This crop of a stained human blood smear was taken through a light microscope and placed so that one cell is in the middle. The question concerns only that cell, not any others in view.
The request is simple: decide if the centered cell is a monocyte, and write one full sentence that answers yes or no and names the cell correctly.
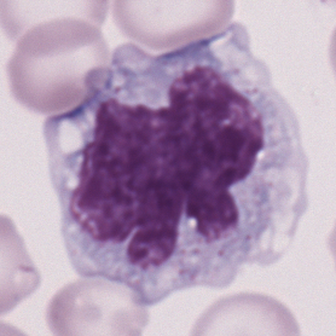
Yes, the central cell of this crop corresponds to a monocyte.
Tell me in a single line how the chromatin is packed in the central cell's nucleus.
The chromatin here is fine and lacks any coarse clumps.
